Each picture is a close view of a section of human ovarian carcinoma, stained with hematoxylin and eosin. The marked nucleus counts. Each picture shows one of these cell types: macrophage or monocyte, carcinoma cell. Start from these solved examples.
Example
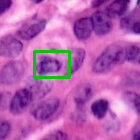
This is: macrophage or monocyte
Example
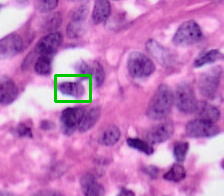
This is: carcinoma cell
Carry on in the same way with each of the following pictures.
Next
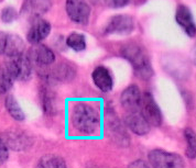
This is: macrophage or monocyte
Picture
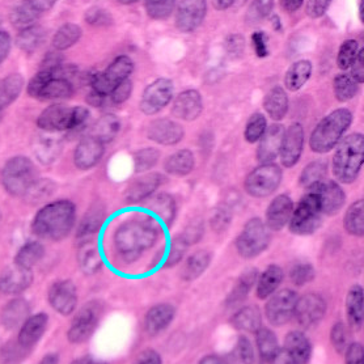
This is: carcinoma cell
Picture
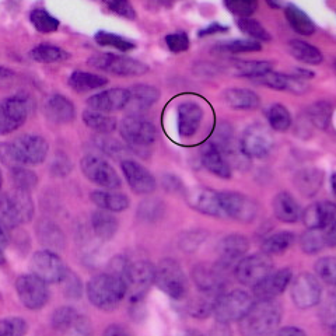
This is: carcinoma cell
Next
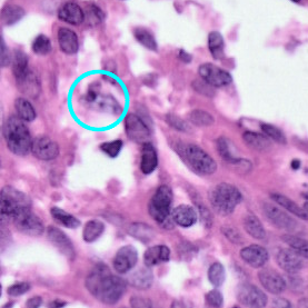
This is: macrophage or monocyte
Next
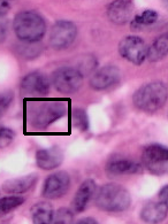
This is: carcinoma cell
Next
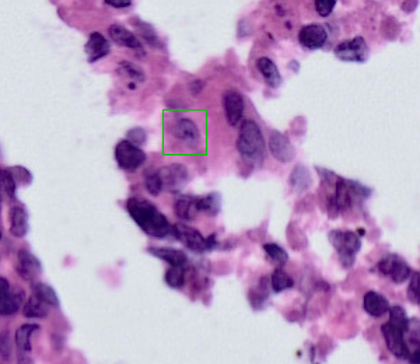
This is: macrophage or monocyte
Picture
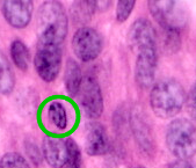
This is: macrophage or monocyte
